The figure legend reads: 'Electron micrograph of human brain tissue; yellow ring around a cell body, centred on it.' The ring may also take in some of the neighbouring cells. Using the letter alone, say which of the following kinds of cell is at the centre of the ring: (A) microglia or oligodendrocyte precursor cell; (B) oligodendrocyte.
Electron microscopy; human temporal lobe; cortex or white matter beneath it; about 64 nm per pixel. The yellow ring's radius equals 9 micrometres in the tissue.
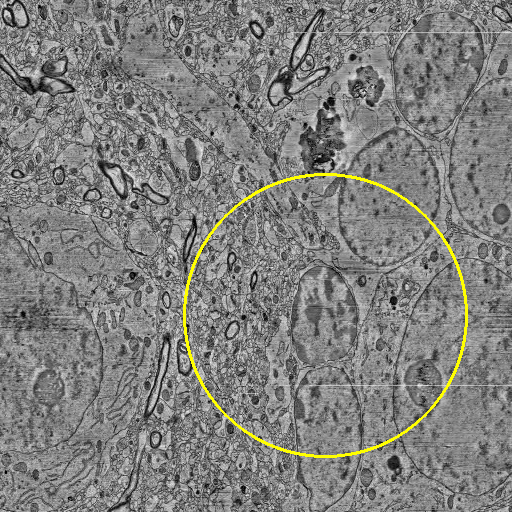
A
